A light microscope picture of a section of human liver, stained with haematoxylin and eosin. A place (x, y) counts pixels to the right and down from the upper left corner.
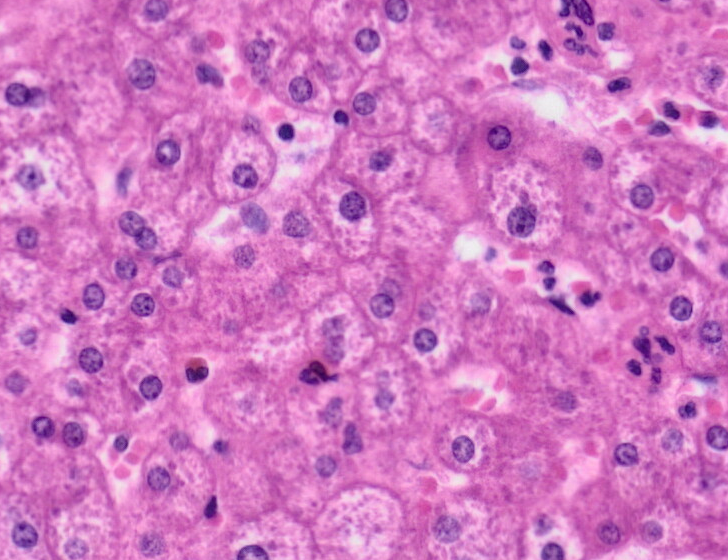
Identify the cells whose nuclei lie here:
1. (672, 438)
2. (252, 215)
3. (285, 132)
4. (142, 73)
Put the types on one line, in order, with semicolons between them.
hepatocyte; endothelial cell; lymphocyte; hepatocyte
